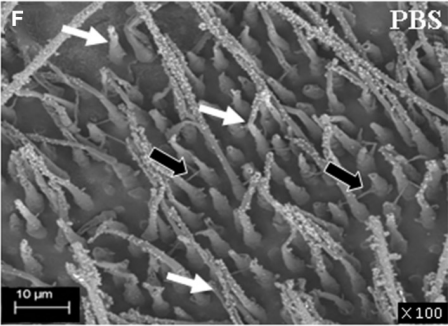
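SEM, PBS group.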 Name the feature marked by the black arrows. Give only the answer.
lateral secondary dentin tubules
